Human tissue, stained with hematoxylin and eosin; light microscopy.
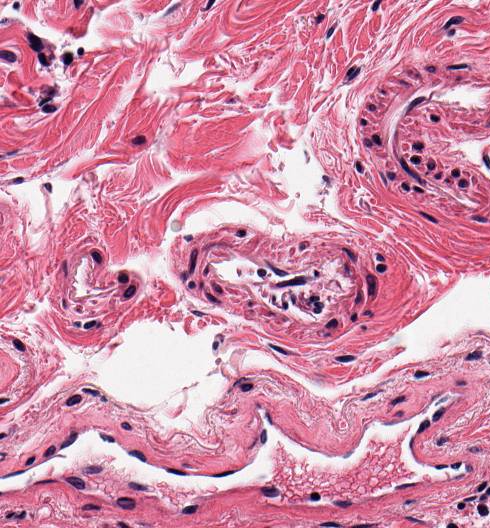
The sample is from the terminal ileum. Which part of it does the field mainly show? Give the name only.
dense connective tissue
